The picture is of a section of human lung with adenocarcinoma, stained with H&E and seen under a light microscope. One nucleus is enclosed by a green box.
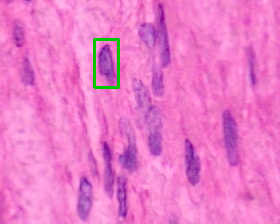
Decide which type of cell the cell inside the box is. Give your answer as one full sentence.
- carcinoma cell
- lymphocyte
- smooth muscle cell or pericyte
In this section, the cell inside the box is a smooth muscle cell or pericyte.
